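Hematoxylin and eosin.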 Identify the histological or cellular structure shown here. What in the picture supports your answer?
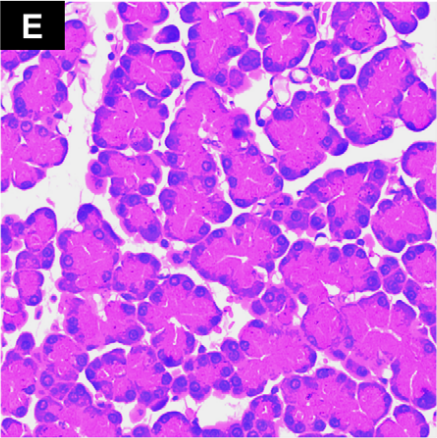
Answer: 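Pancreatic acini. Rounded clusters of pyramidal cells with pink cytoplasm. Purple round nuclei lie toward the outer edge of each cluster. Clusters are separated by clear spaces.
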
